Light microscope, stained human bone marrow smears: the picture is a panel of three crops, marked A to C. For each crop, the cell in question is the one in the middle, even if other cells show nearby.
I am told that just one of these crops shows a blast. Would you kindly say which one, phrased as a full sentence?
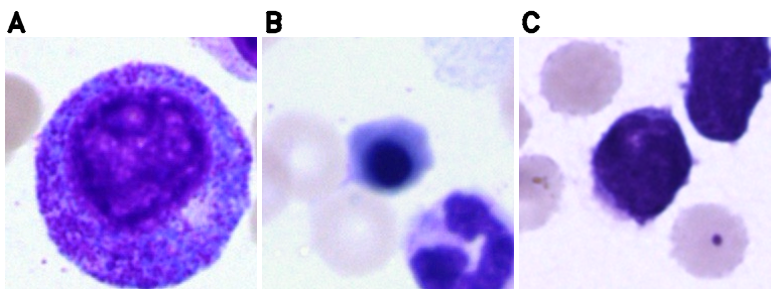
Crop C is the one that shows a blast.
